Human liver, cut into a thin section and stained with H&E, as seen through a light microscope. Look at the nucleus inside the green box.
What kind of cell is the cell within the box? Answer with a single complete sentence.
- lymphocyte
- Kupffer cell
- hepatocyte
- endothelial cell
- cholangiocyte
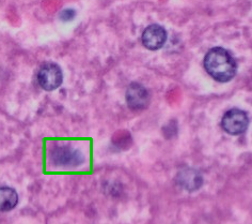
At the level of cell identity, the cell within the box is an endothelial cell.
